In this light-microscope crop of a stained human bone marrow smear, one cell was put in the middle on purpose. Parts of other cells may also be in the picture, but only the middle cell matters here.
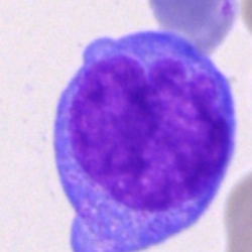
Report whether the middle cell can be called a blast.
yes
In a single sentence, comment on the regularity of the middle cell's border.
The cell outline lacks smoothness, being ragged or extended into projections.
